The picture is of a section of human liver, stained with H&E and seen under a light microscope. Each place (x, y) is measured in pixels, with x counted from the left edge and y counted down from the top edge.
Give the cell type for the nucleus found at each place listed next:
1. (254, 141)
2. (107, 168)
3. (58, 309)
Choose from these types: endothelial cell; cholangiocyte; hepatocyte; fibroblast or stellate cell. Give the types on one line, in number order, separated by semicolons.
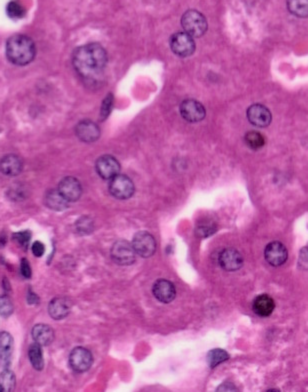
hepatocyte; hepatocyte; cholangiocyte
